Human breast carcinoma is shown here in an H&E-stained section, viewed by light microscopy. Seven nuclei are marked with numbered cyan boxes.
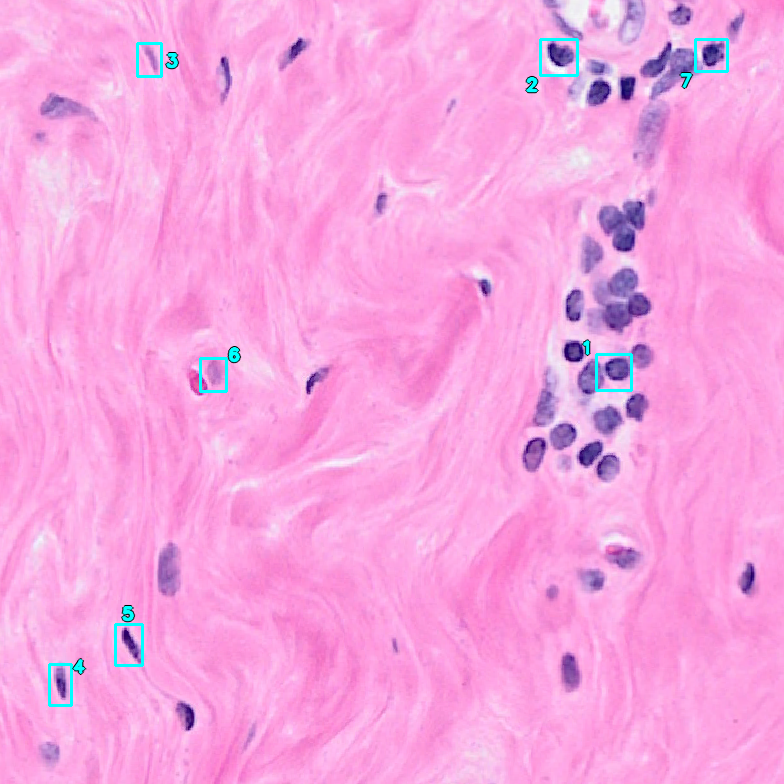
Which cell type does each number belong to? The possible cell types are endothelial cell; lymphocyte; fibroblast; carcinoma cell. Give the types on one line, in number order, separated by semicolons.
lymphocyte; lymphocyte; fibroblast; fibroblast; fibroblast; endothelial cell; lymphocyte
